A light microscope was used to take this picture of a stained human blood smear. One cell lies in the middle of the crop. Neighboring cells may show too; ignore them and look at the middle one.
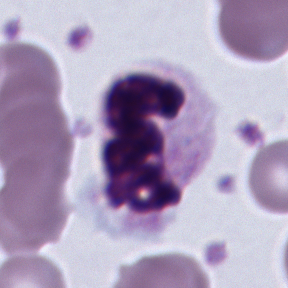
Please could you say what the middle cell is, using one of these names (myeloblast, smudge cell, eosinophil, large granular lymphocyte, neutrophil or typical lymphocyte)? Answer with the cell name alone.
neutrophil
